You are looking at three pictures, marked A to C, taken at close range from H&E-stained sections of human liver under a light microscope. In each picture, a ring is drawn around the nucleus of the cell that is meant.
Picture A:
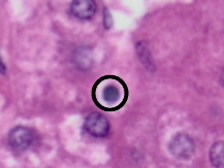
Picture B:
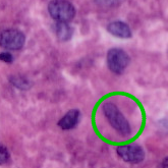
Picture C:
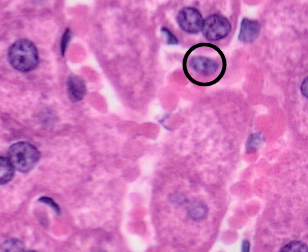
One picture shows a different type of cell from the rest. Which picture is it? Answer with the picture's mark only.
A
